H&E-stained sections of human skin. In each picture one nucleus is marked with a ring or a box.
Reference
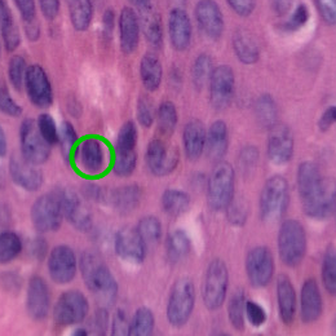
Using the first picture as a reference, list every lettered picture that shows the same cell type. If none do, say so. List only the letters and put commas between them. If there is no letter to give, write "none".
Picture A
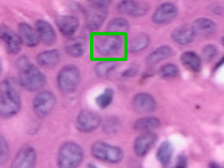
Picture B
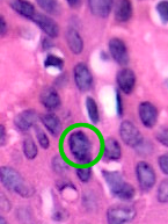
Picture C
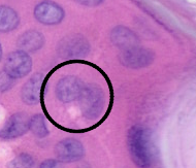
B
